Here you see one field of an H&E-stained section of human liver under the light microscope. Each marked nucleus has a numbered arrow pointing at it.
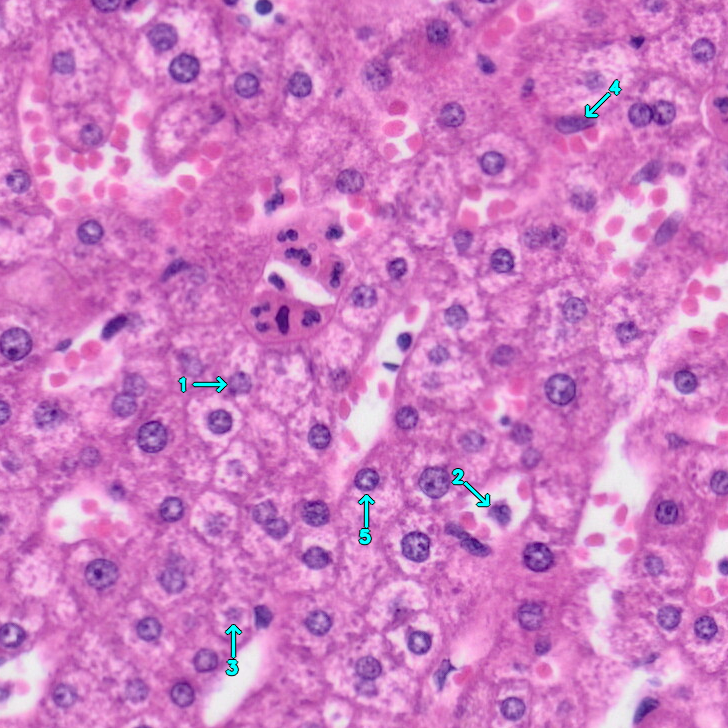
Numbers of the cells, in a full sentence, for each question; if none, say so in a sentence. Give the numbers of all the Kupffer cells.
Identified as Kupffer cells are the cells numbered 2 and 4.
